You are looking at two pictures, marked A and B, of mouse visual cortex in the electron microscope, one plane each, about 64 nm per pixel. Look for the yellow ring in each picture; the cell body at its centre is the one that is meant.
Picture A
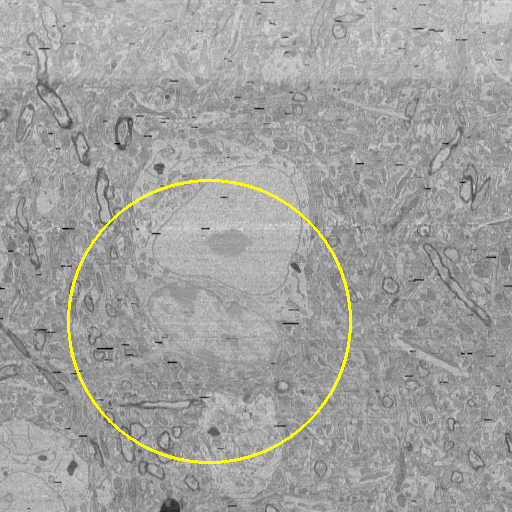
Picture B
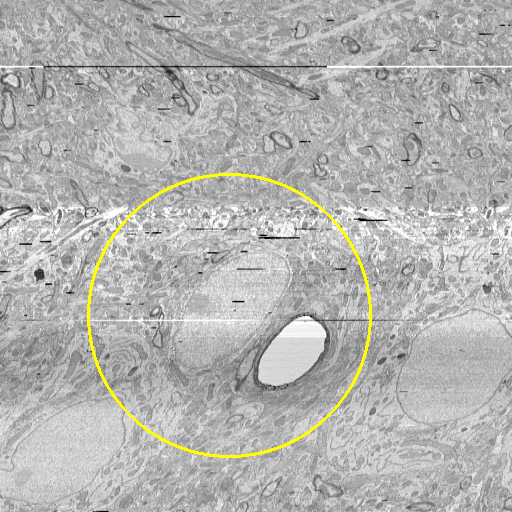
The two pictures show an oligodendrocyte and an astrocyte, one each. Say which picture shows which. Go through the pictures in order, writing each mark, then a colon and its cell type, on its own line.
A: oligodendrocyte
B: astrocyte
